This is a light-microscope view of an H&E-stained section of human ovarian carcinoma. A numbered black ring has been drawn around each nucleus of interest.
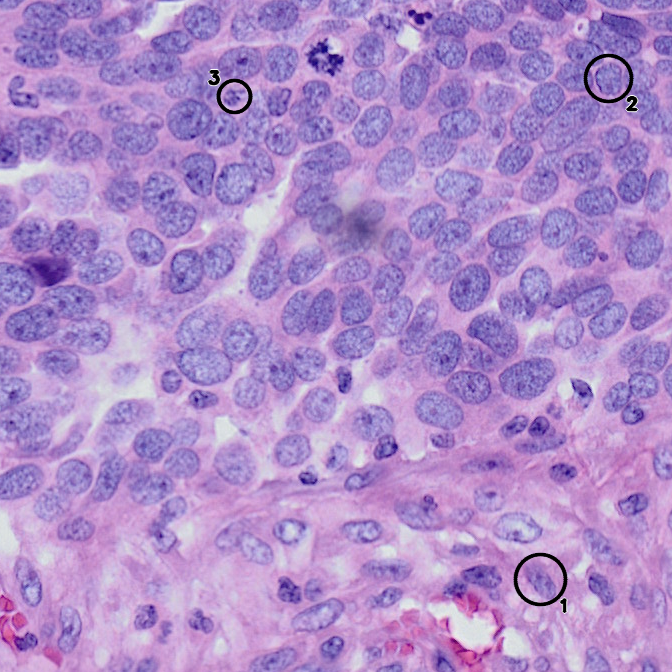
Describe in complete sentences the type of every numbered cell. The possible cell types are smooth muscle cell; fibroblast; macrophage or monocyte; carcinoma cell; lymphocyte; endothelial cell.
Cell 1 is a fibroblast. Cell 2 is a carcinoma cell. Cell 3 is a lymphocyte.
